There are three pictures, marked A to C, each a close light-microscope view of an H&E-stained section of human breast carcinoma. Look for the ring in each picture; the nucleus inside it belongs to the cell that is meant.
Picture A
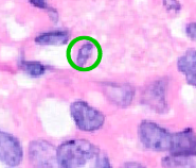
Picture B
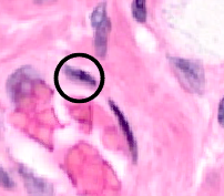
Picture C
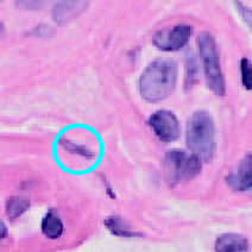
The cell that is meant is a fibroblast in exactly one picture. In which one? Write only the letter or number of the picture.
C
